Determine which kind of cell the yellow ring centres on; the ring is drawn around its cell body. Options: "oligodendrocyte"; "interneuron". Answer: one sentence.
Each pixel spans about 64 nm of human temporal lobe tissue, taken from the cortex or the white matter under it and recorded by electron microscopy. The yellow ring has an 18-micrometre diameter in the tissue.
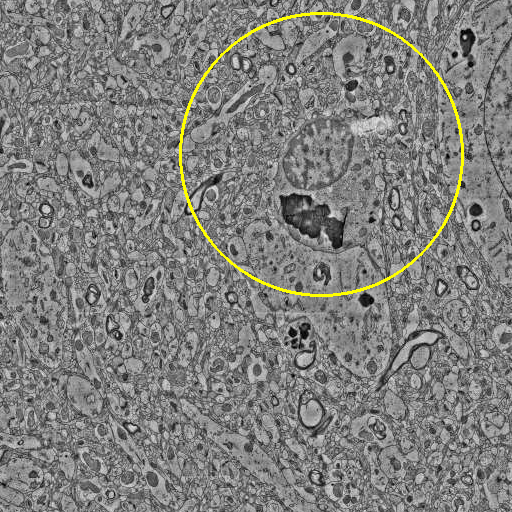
The ring centres on an oligodendrocyte.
